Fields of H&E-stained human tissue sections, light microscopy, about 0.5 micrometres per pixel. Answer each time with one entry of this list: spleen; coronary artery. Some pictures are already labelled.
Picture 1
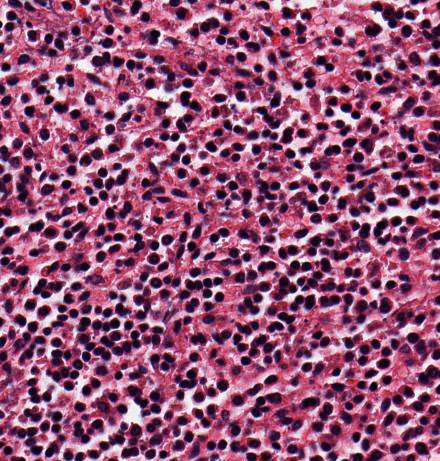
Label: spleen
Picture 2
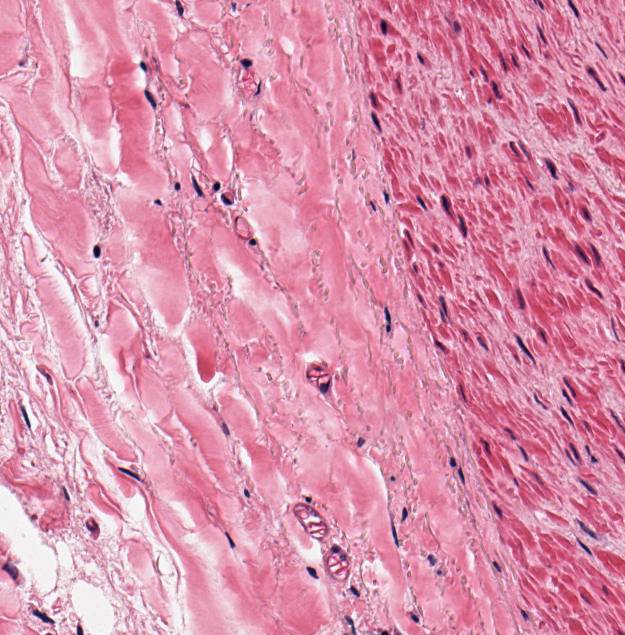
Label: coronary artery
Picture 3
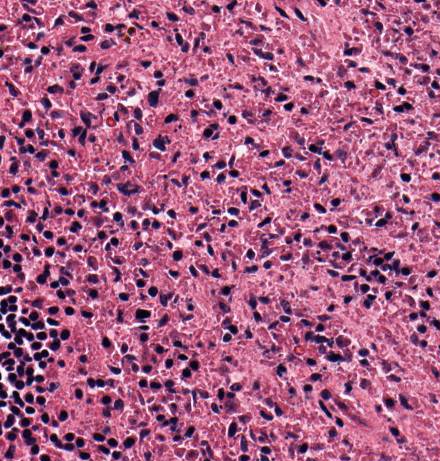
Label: spleen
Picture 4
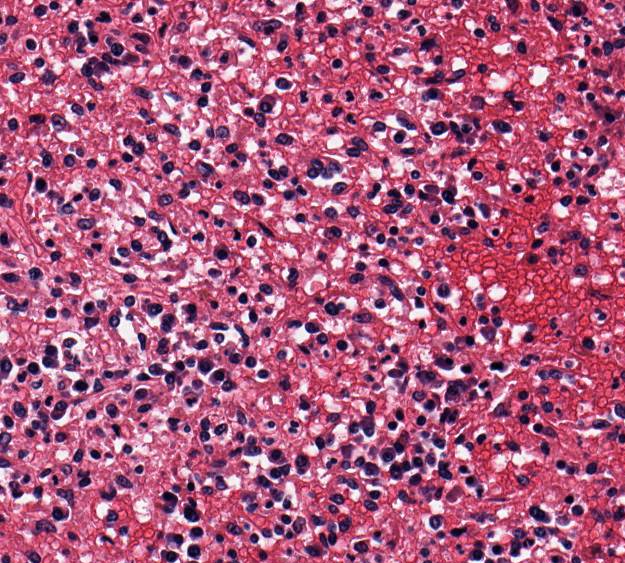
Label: spleen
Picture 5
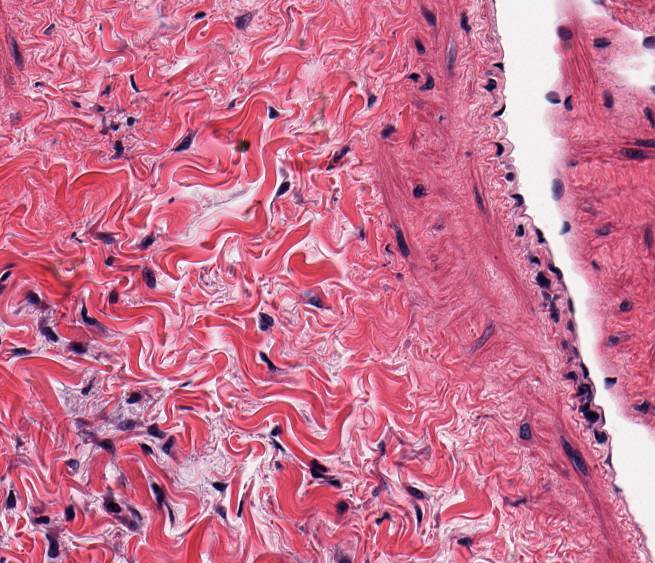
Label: coronary artery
